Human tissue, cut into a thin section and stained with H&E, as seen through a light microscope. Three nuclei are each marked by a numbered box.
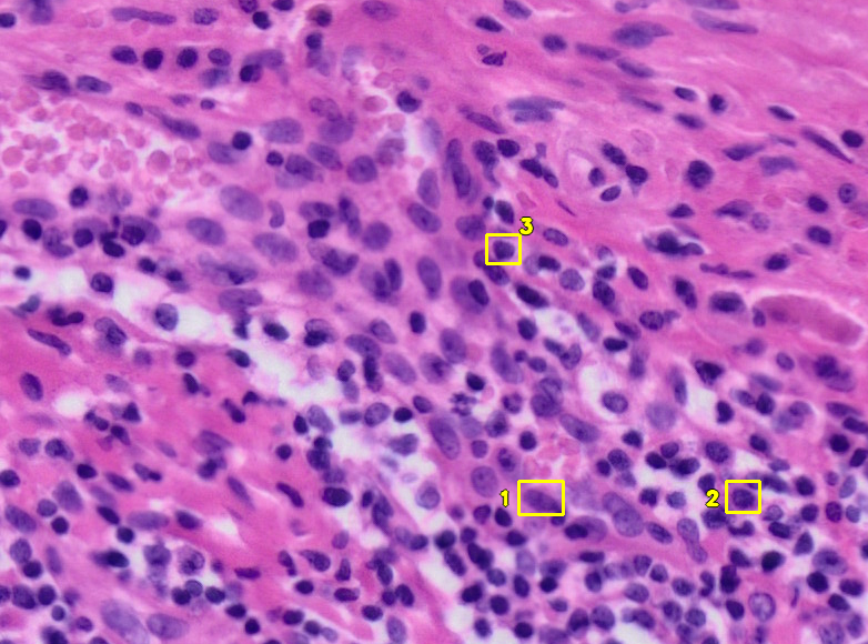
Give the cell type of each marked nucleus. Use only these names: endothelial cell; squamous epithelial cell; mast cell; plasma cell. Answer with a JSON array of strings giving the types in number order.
["endothelial cell", "plasma cell", "mast cell"]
